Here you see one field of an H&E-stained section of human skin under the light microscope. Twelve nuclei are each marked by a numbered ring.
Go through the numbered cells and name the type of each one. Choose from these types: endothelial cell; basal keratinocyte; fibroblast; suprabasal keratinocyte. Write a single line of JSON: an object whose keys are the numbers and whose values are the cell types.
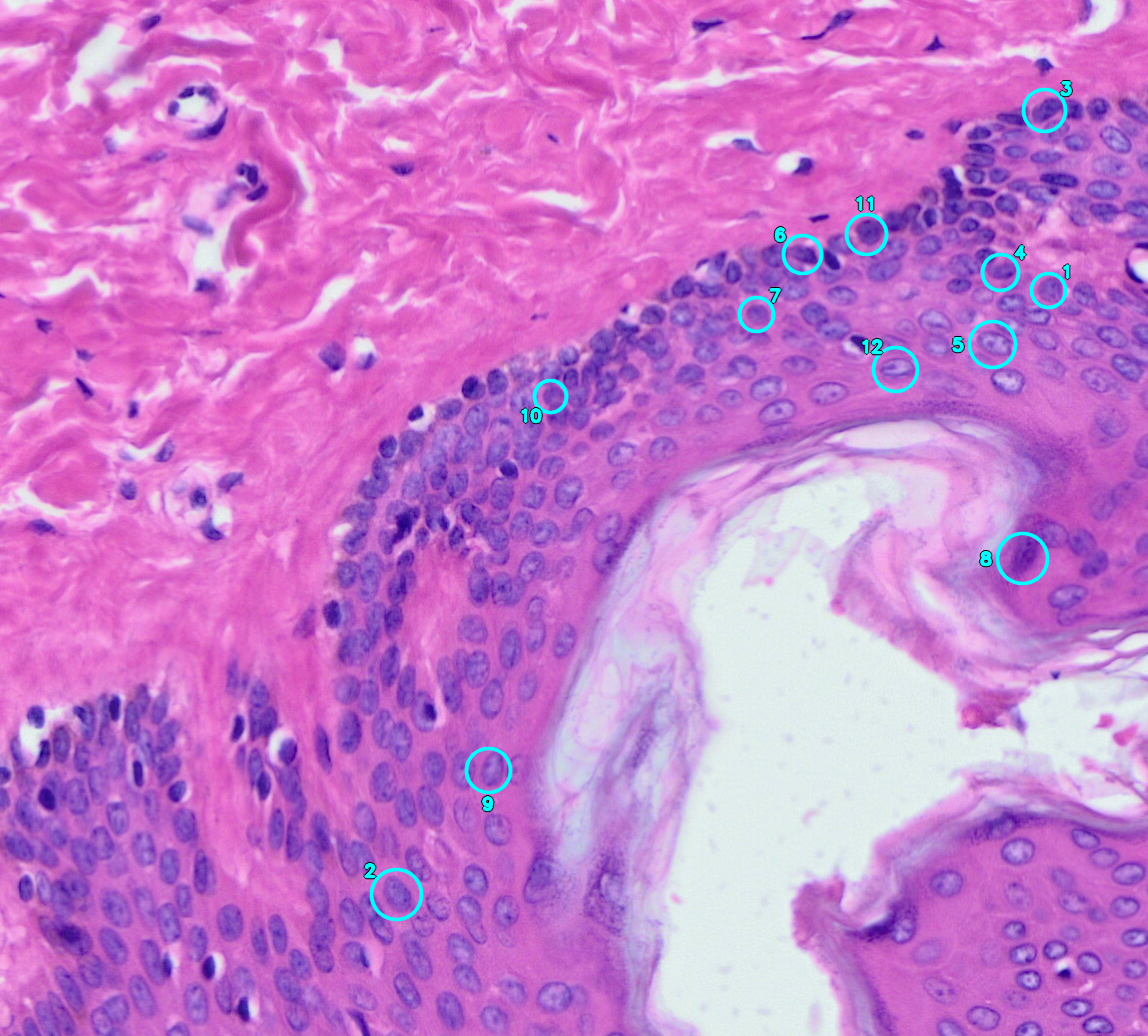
{"1": "basal keratinocyte", "2": "suprabasal keratinocyte", "3": "basal keratinocyte", "4": "basal keratinocyte", "5": "suprabasal keratinocyte", "6": "basal keratinocyte", "7": "basal keratinocyte", "8": "suprabasal keratinocyte", "9": "suprabasal keratinocyte", "10": "basal keratinocyte", "11": "basal keratinocyte", "12": "suprabasal keratinocyte"}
